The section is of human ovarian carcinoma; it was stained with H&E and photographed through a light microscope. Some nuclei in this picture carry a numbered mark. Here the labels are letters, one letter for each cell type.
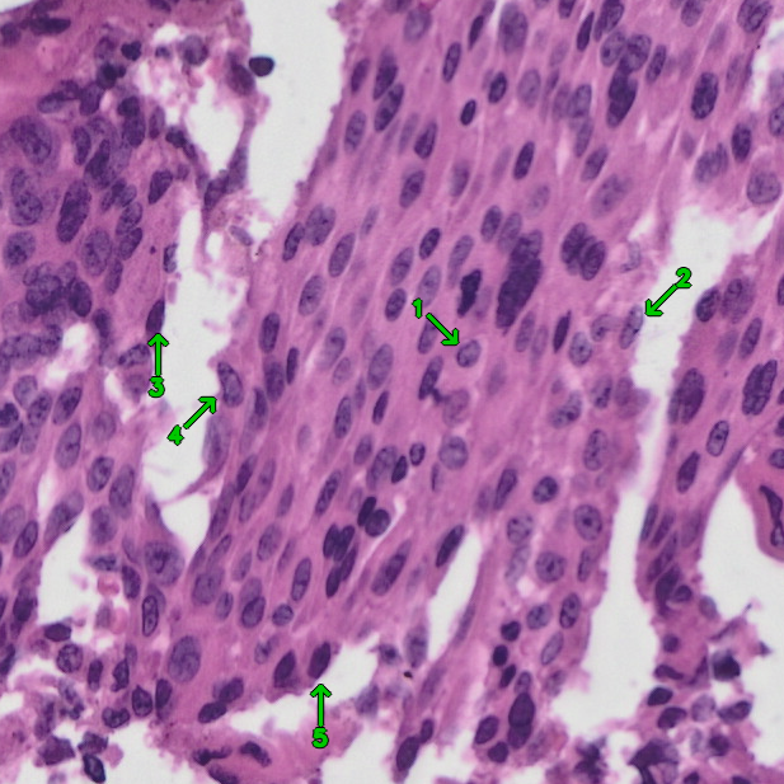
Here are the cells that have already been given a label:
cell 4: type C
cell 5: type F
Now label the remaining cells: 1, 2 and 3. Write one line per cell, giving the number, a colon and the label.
1: type C
2: type C
3: type F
